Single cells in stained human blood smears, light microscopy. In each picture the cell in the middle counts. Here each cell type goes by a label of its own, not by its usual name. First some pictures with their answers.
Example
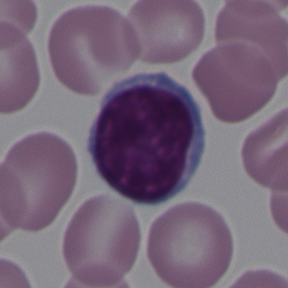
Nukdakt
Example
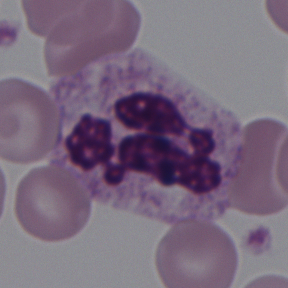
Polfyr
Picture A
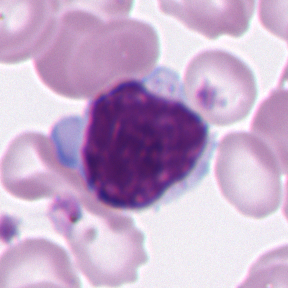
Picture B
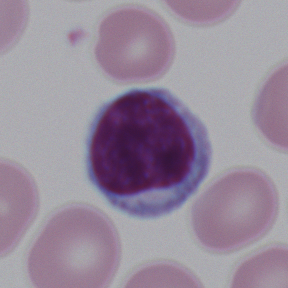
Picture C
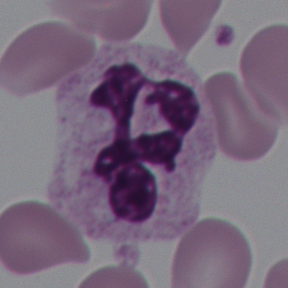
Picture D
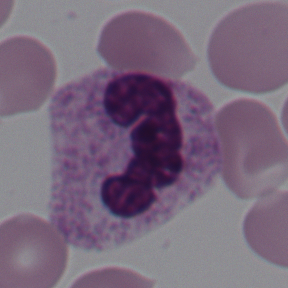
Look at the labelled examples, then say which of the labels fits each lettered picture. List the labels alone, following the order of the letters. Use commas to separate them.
Nukdakt, Nukdakt, Polfyr, Polfyr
